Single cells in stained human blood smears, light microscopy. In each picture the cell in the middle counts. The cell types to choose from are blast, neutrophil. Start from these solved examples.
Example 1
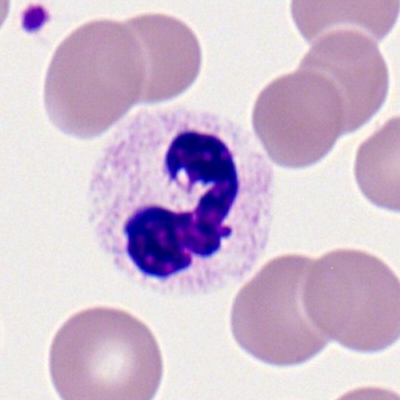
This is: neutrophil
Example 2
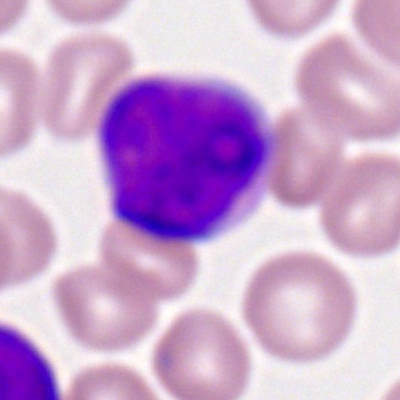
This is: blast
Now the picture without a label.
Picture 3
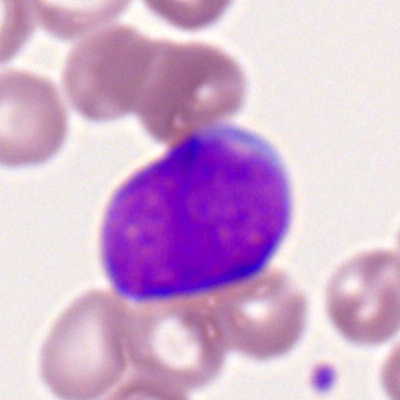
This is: blast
